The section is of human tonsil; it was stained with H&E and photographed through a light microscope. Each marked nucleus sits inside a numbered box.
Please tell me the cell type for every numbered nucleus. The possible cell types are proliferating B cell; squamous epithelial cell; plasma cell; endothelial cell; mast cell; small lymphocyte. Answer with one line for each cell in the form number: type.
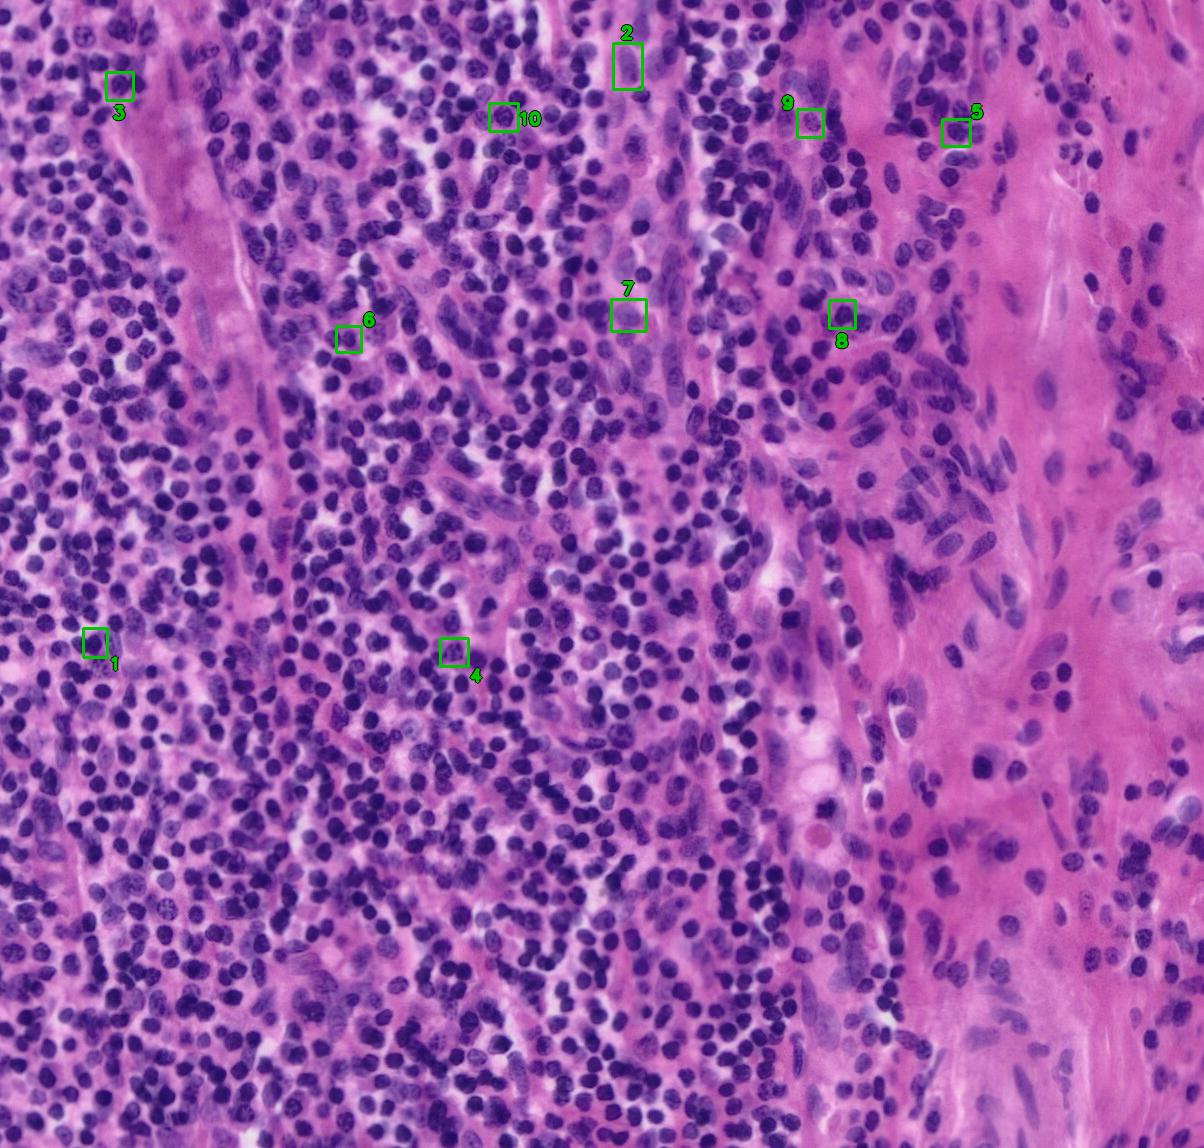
1: small lymphocyte
2: endothelial cell
3: plasma cell
4: plasma cell
5: plasma cell
6: plasma cell
7: endothelial cell
8: plasma cell
9: endothelial cell
10: plasma cell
